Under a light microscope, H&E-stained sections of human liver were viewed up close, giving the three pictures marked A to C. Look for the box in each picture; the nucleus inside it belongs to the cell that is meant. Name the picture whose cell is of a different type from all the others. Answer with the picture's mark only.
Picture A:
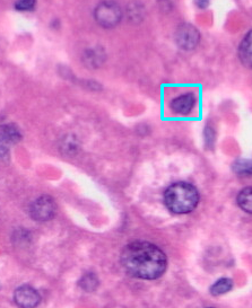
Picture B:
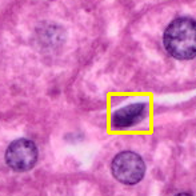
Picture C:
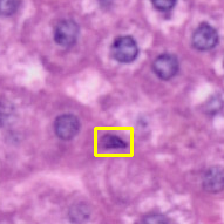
B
